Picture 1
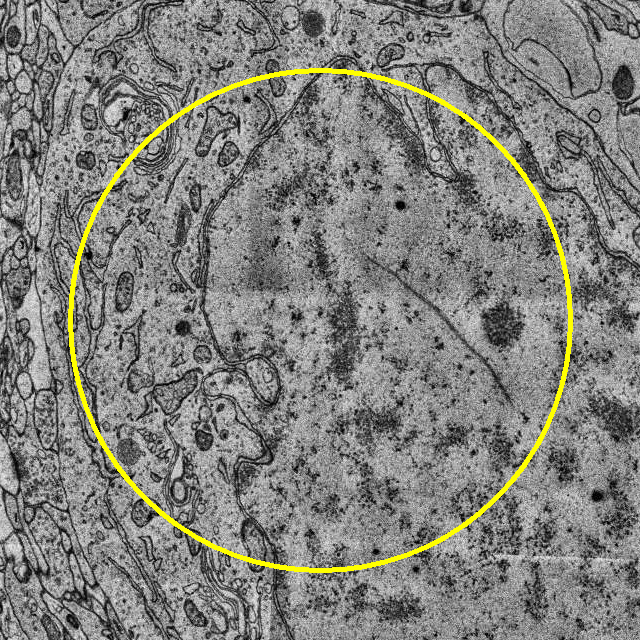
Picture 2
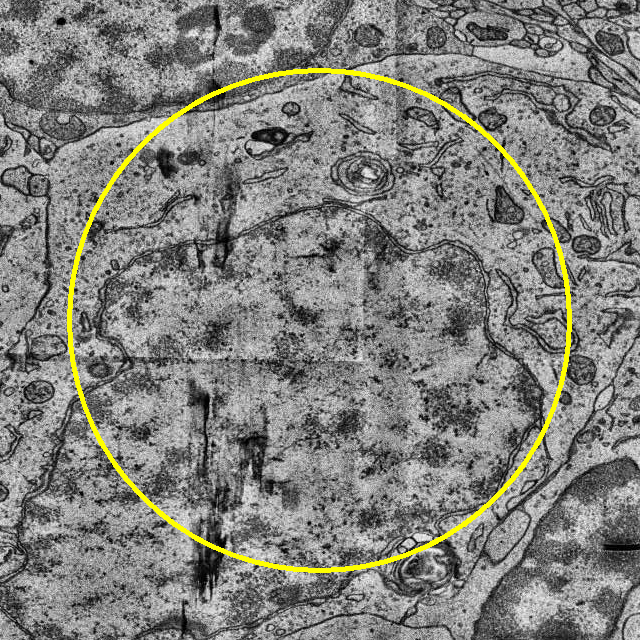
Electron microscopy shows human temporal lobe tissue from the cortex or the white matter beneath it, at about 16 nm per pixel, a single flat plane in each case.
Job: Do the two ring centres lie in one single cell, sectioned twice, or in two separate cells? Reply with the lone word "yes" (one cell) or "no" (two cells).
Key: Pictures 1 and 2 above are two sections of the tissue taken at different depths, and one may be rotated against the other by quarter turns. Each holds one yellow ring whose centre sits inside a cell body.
yes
